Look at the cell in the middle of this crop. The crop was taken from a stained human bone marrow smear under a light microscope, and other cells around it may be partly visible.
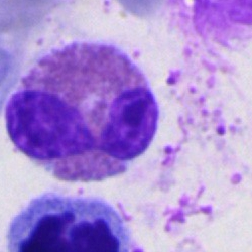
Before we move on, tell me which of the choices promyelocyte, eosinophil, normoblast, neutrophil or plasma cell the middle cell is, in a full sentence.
This crop is built around an eosinophil at its centre.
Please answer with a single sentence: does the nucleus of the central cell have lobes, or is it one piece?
Two or more lobes make up the nucleus of this cell.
